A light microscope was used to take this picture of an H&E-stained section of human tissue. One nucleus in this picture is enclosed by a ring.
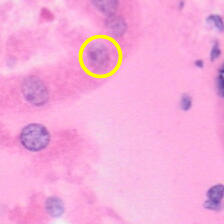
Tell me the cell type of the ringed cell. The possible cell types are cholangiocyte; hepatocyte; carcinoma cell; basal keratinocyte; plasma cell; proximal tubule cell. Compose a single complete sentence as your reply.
In cell-type terms, the ringed cell is a proximal tubule cell.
